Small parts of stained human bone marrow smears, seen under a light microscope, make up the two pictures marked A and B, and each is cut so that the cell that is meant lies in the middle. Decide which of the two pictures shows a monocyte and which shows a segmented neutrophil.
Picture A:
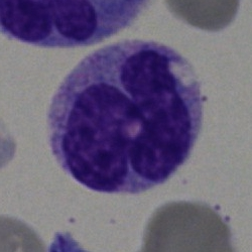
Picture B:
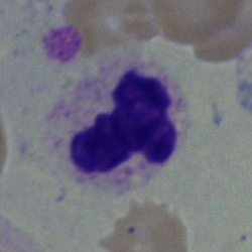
A: monocyte
B: segmented neutrophil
